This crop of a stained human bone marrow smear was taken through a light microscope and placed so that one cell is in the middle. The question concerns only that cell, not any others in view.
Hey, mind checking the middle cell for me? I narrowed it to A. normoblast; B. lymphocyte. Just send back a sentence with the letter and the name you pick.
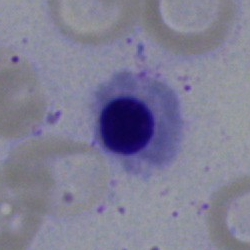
Option A holds, for the cell in the middle is a normoblast.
